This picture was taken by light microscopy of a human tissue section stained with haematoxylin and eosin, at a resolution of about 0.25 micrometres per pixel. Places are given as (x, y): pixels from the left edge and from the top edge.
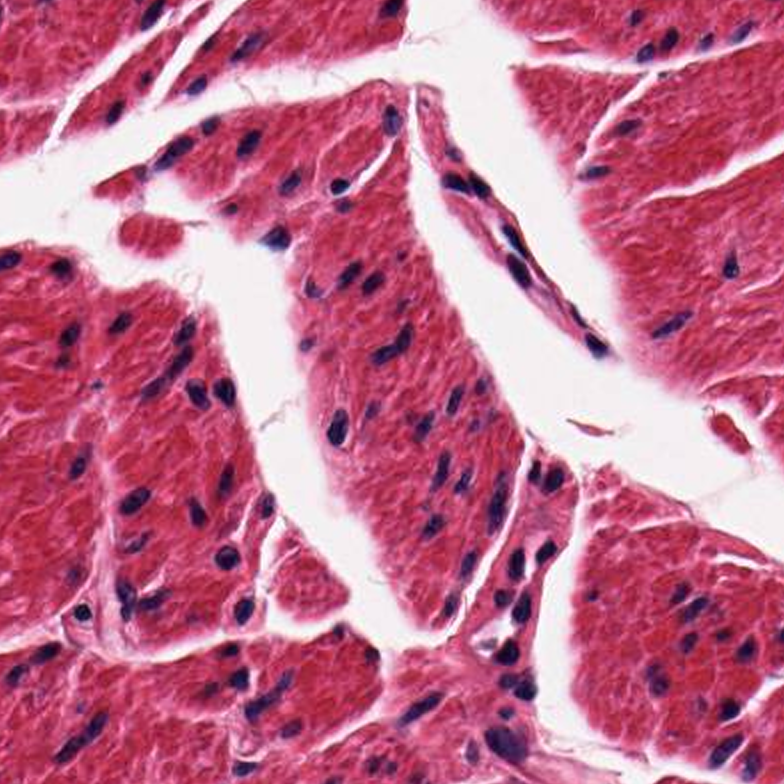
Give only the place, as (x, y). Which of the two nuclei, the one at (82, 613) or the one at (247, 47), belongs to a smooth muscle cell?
(247, 47)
